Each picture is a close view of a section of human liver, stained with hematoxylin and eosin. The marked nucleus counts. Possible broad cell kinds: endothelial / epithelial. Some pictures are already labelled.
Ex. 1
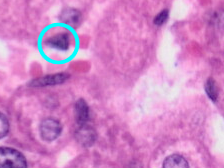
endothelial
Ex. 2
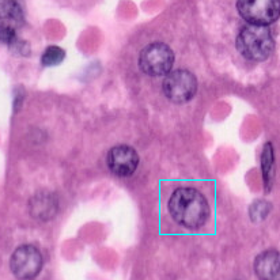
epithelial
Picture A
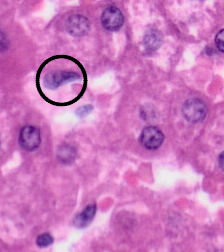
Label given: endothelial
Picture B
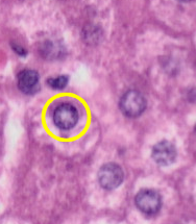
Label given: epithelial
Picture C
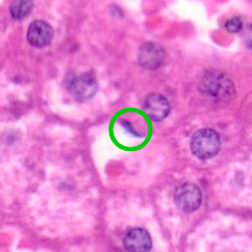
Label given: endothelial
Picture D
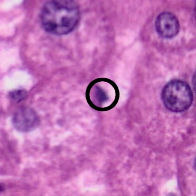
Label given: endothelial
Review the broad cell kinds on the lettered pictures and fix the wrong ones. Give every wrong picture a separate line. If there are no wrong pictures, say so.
None of the labels needs changing.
